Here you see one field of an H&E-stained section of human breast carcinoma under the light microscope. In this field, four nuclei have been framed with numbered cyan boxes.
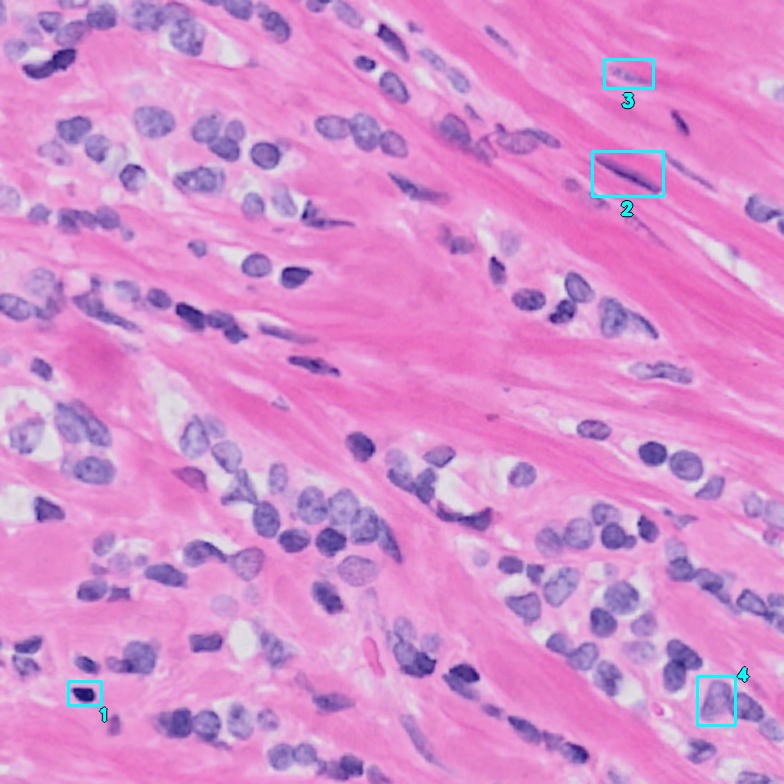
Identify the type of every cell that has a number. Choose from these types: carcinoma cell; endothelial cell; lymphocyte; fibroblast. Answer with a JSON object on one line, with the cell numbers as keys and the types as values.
{"1": "lymphocyte", "2": "fibroblast", "3": "fibroblast", "4": "carcinoma cell"}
